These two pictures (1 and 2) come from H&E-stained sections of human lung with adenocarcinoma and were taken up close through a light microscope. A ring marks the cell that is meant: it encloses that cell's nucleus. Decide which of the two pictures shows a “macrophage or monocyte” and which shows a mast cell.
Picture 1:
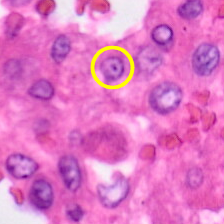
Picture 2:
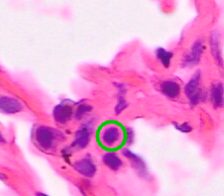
1: macrophage or monocyte
2: mast cell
